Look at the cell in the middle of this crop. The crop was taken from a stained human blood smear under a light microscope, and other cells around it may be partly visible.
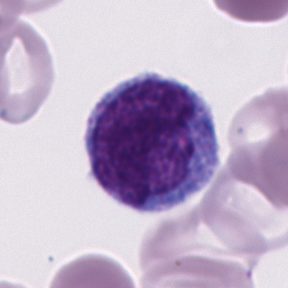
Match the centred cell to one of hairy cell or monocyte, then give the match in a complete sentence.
At the middle of the frame sits a monocyte.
